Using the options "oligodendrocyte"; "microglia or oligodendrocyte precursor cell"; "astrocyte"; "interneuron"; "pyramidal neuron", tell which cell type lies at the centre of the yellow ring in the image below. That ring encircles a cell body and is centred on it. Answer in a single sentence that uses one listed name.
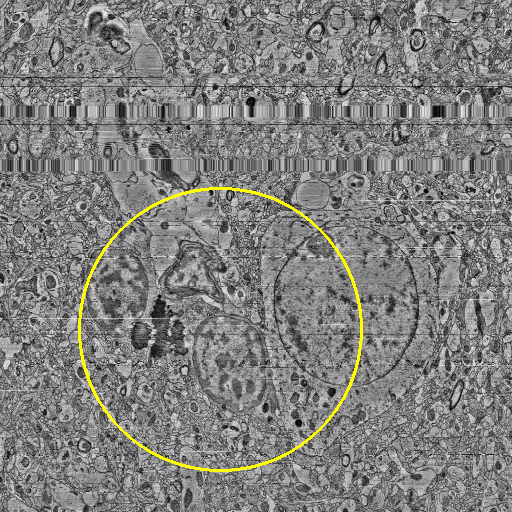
At the centre of the yellow ring lies the body of an oligodendrocyte.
